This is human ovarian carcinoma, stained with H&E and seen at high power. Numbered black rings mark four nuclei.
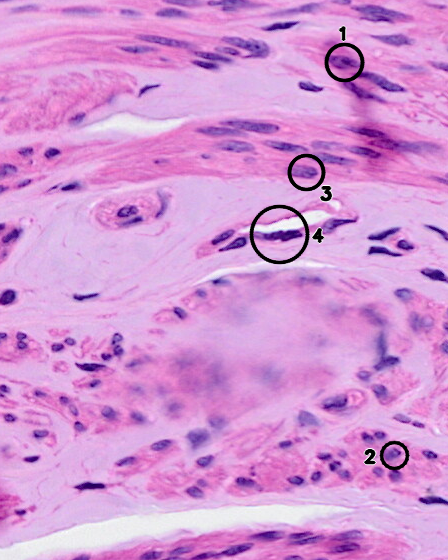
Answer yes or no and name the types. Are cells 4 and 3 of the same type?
No, cell 4 is an endothelial cell and cell 3 is a smooth muscle cell.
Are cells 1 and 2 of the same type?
Yes, both are smooth muscle cells.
